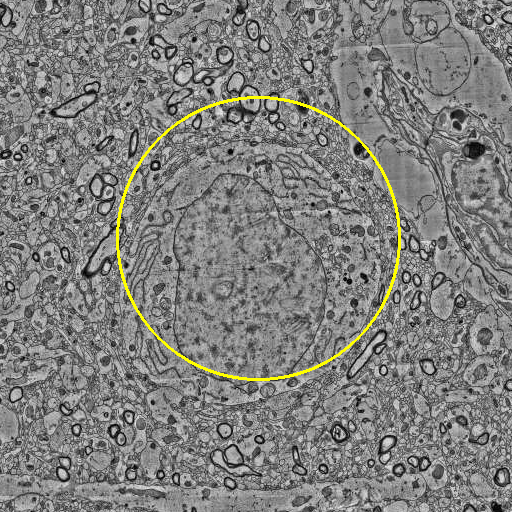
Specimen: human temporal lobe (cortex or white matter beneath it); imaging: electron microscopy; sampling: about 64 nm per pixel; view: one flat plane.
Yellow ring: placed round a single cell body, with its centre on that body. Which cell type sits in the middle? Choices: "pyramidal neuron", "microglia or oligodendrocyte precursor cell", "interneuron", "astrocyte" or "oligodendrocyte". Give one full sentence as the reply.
It is an interneuron whose cell body sits at the centre of the yellow ring.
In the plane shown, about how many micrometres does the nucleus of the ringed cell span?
In this plane the nucleus measures roughly 14 by 11 micrometers.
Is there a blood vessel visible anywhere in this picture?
Yes, a blood vessel is present in this picture.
